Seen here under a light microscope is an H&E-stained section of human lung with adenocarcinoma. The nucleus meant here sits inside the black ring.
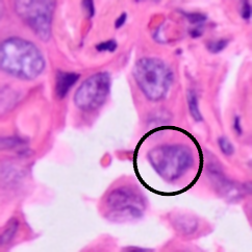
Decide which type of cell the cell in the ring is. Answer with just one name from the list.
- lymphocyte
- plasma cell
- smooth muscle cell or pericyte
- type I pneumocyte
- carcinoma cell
carcinoma cell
